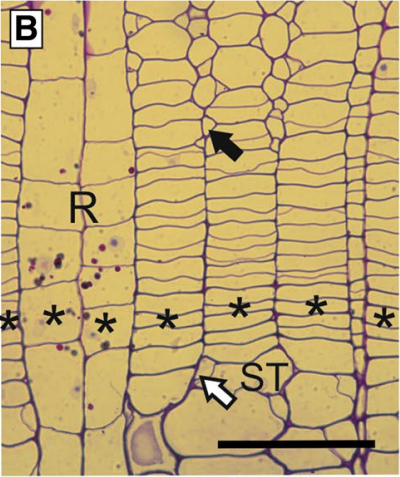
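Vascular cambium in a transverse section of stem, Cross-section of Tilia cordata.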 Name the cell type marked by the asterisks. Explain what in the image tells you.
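The asterisks lie in a row across the radial files of thin-walled, tangentially flattened cells. Above and below the row, the radial files continue toward larger cells.
Hence: initial cells.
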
